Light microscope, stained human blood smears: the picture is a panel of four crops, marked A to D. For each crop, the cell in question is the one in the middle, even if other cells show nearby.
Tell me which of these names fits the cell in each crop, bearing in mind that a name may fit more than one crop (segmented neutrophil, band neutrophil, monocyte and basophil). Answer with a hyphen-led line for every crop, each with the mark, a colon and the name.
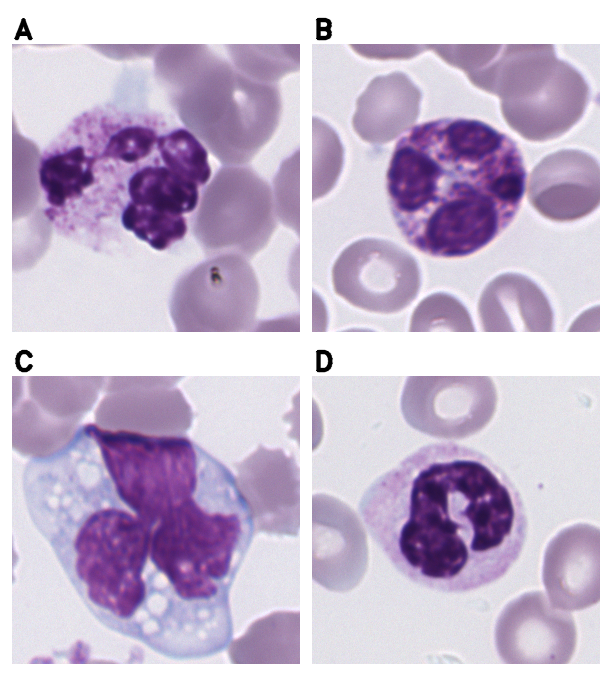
- A: segmented neutrophil
- B: basophil
- C: monocyte
- D: band neutrophil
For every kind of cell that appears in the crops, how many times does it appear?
segmented neutrophil: 1
basophil: 1
monocyte: 1
band neutrophil: 1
